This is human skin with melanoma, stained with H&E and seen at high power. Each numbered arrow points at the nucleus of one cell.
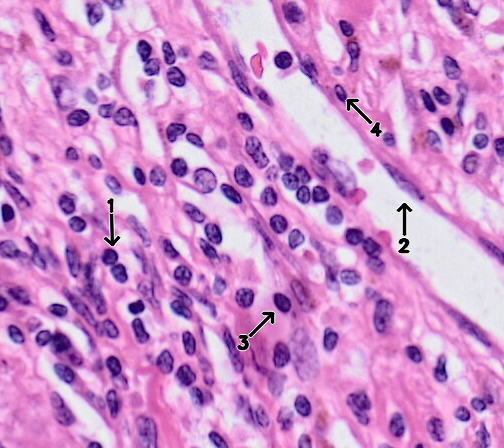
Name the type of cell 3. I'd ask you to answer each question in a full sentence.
To a lymphocyte belongs the nucleus marked 3.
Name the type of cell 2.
The label 2 in this section denotes an endothelial cell.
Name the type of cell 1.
The cell assigned the number 1 is a lymphocyte.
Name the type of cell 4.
The identity of cell 4 is that of a macrophage or monocyte.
